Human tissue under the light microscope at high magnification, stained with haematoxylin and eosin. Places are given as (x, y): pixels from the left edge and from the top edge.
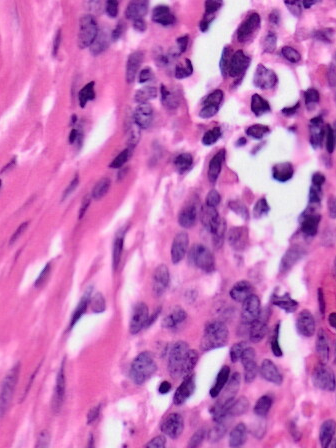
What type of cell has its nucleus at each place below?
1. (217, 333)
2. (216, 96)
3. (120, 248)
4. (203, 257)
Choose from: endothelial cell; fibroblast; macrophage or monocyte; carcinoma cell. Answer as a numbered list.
1. carcinoma cell
2. carcinoma cell
3. fibroblast
4. carcinoma cell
